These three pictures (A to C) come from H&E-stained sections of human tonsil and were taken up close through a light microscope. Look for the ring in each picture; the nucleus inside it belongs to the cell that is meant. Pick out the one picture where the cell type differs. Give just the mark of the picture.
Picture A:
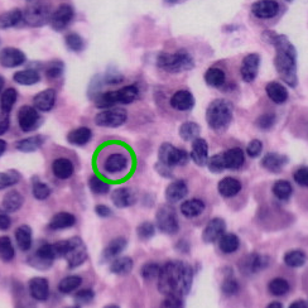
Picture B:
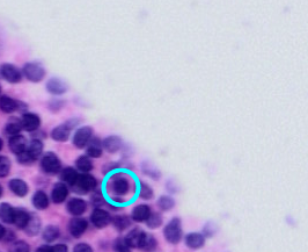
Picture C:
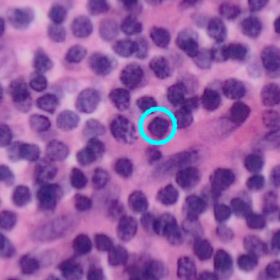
A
